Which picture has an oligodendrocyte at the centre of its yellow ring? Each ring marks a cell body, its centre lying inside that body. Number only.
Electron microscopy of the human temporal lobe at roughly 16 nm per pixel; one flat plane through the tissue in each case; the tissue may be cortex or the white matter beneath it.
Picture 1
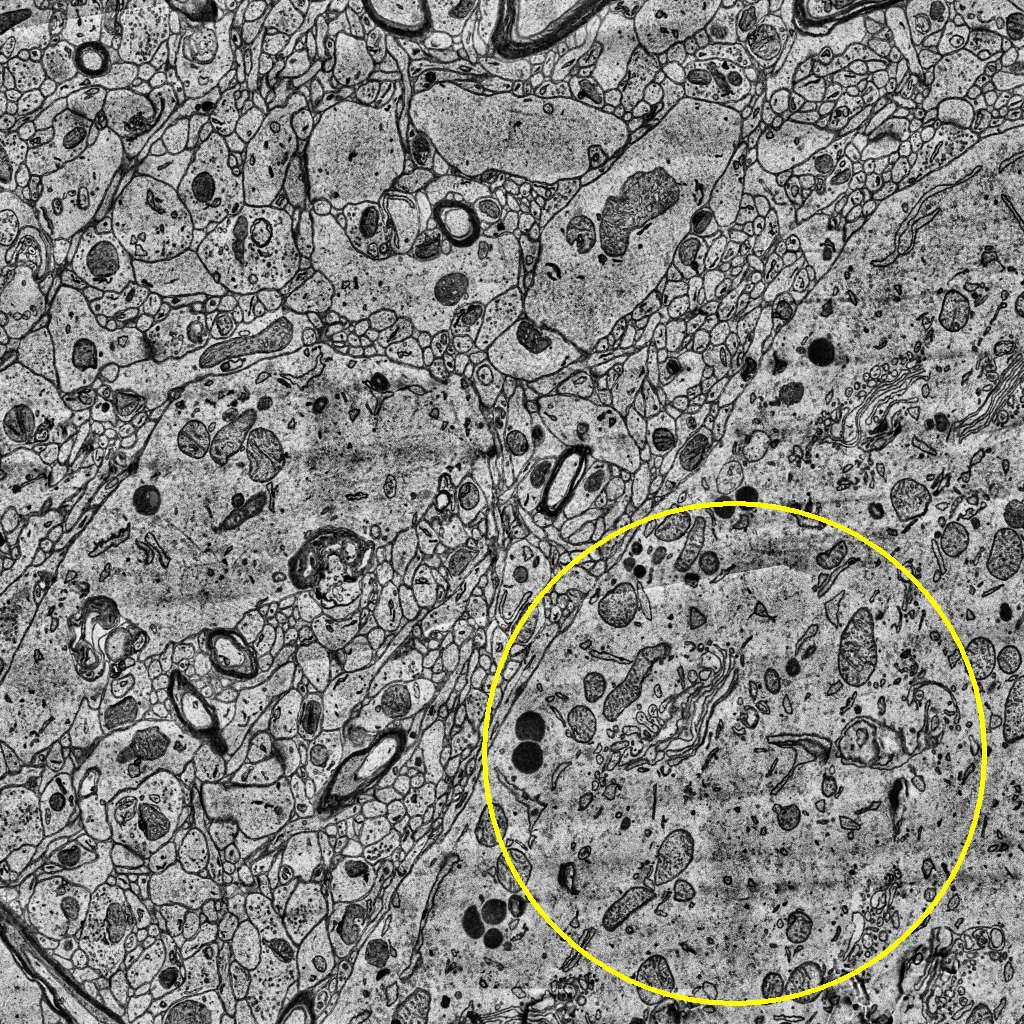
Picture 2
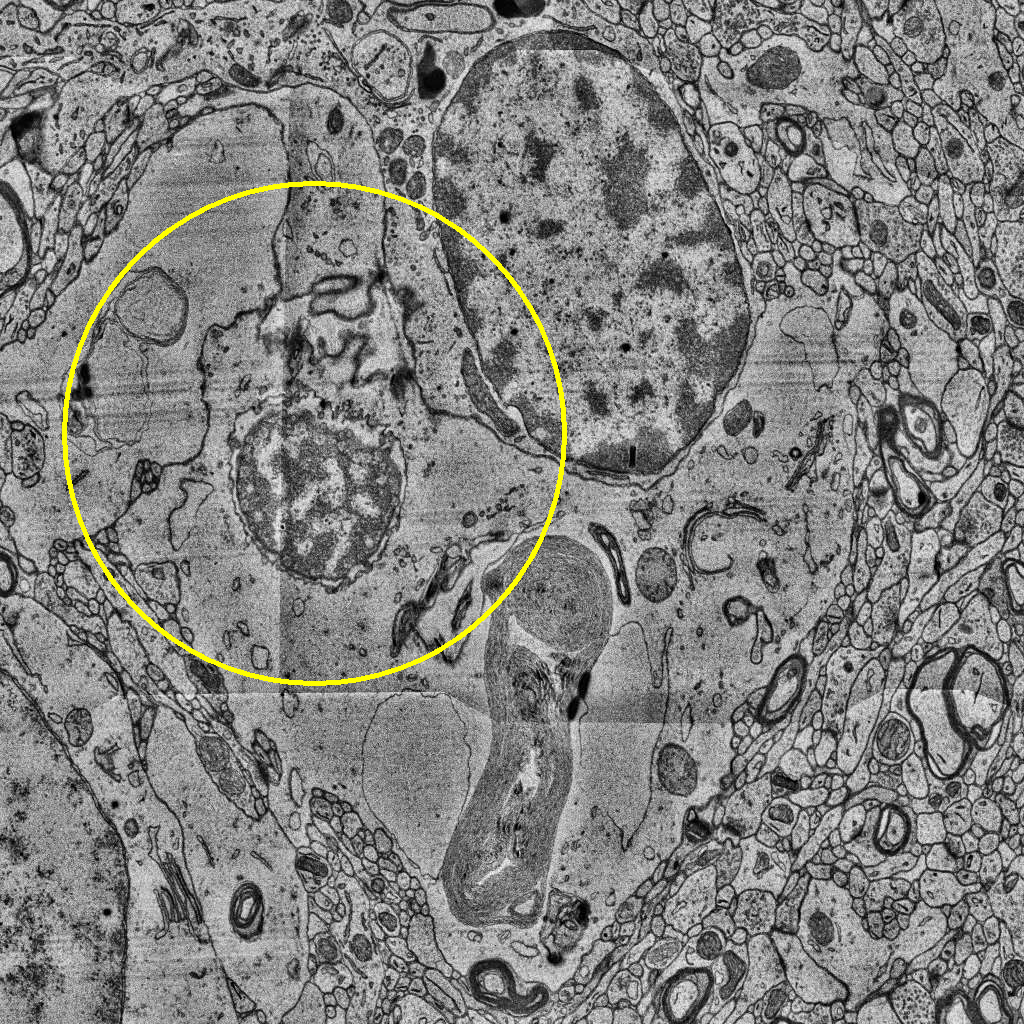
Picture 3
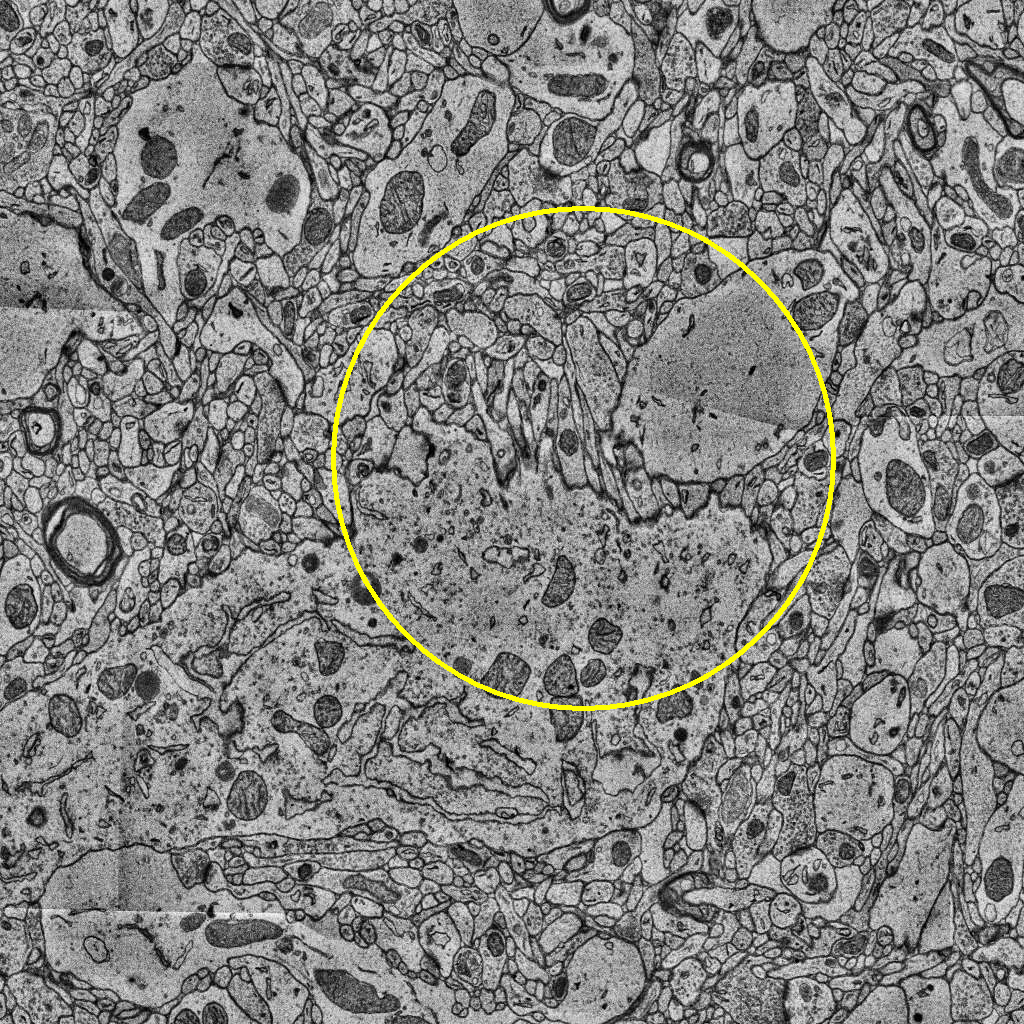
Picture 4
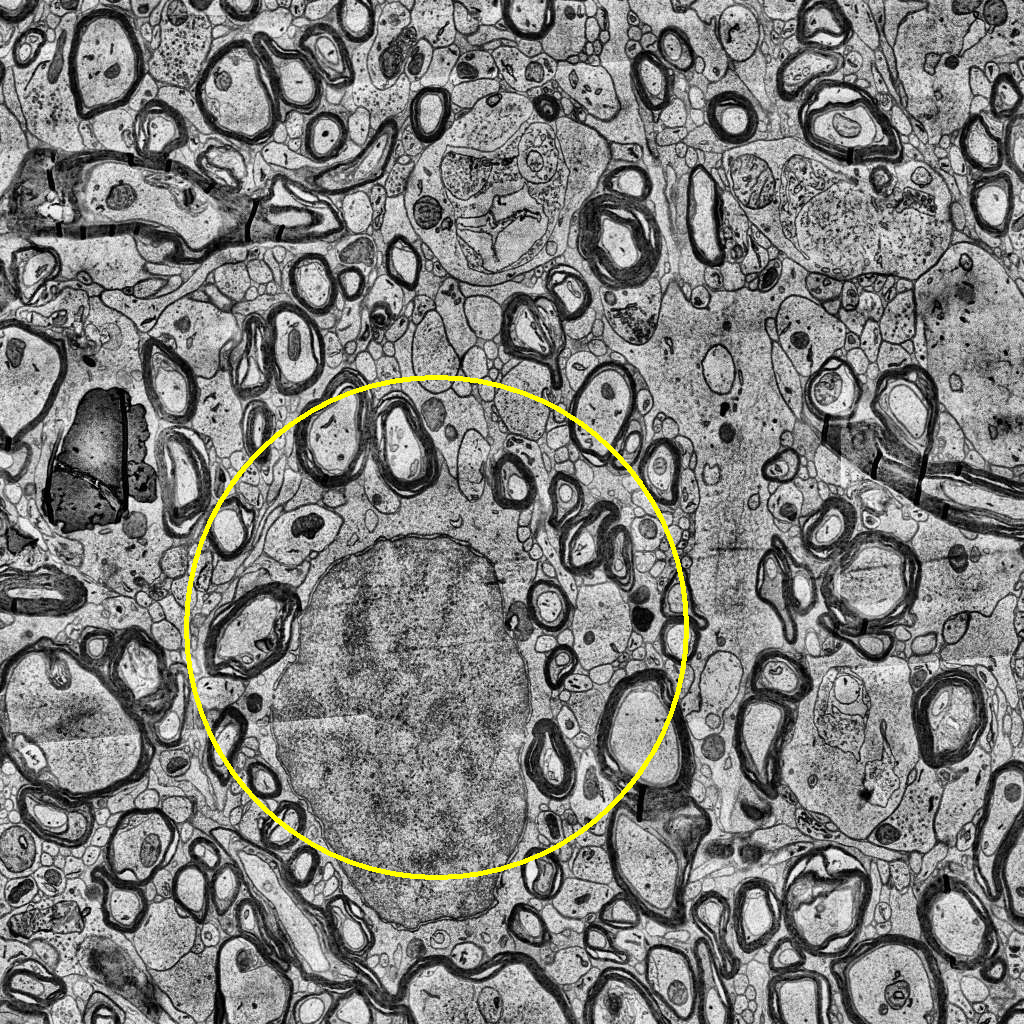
4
